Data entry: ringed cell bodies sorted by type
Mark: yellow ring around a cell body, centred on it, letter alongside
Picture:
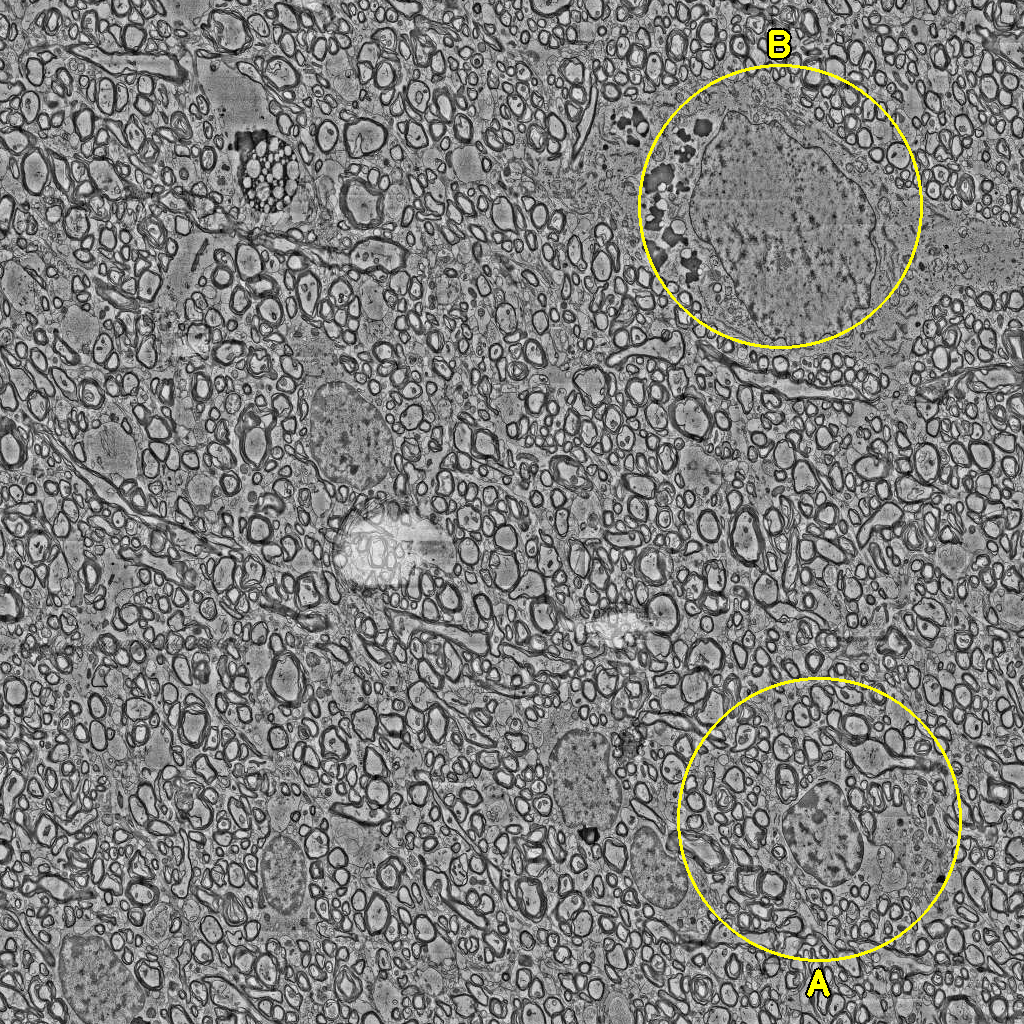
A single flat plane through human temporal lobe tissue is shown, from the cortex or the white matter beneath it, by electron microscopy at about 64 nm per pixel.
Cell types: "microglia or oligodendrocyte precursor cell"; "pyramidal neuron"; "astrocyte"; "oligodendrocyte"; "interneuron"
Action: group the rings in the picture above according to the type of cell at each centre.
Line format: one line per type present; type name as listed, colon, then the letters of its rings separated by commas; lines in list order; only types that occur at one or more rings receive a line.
microglia or oligodendrocyte precursor cell: A
pyramidal neuron: B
